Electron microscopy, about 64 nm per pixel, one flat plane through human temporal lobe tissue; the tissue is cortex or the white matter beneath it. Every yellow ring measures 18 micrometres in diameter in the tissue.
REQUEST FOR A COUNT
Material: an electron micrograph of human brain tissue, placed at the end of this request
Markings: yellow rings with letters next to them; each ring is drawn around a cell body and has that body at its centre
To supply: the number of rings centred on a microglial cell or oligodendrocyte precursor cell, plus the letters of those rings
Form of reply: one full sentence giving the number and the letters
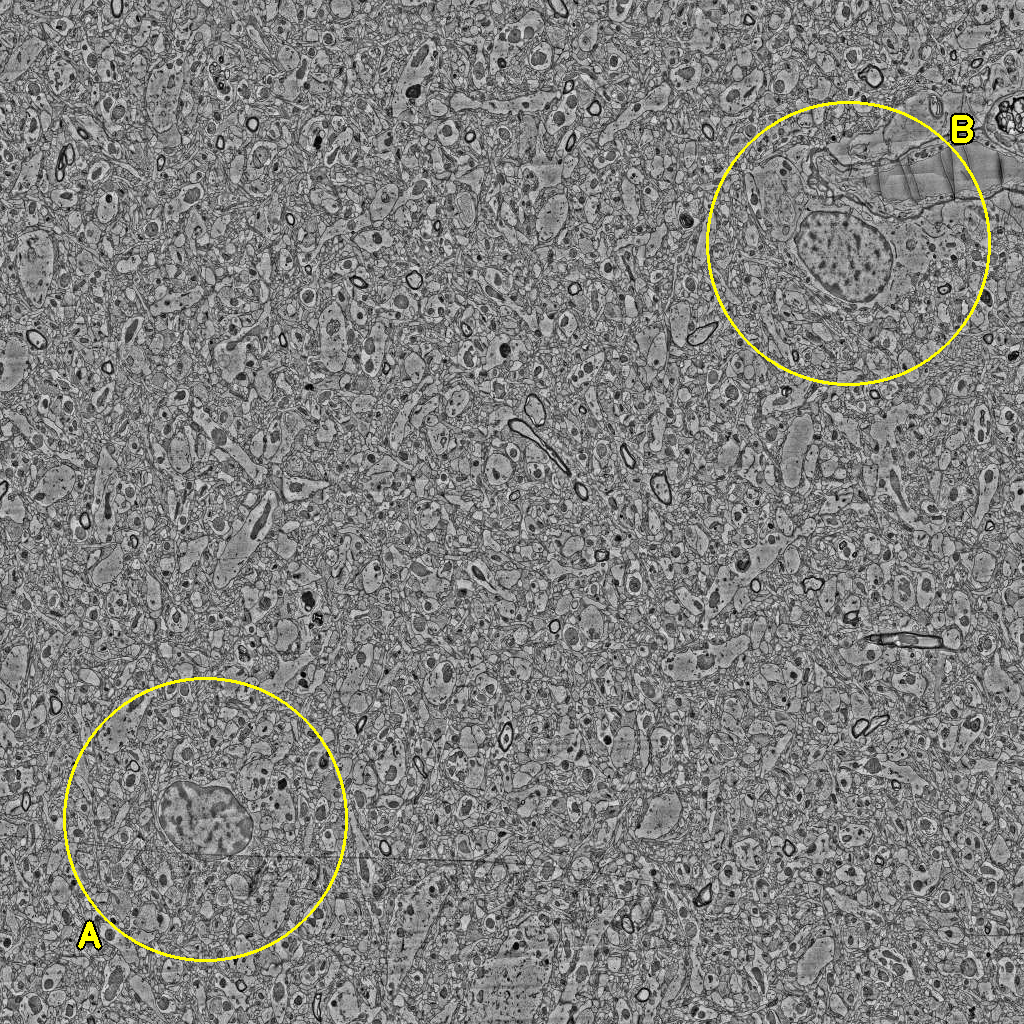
Every ring in the group lettered A and B is centred on a microglial cell or oligodendrocyte precursor cell, and the group numbers two.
